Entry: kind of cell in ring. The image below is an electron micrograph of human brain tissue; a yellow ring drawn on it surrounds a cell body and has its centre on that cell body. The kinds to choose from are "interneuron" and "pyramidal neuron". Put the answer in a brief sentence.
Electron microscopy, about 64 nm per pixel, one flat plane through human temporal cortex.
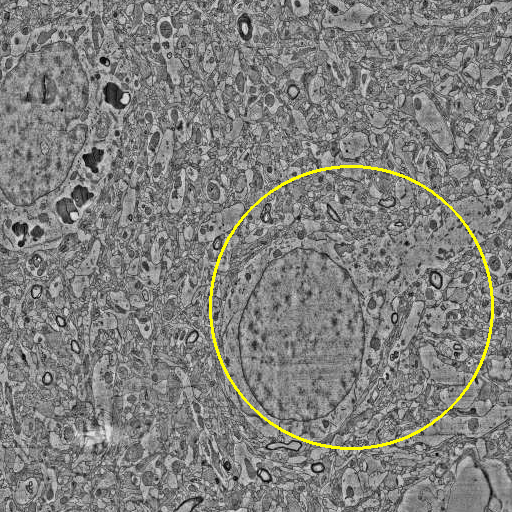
The ring has been drawn around a pyramidal neuron.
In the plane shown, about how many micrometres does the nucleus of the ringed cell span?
About 11 micrometres by about 8 micrometres in this plane.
